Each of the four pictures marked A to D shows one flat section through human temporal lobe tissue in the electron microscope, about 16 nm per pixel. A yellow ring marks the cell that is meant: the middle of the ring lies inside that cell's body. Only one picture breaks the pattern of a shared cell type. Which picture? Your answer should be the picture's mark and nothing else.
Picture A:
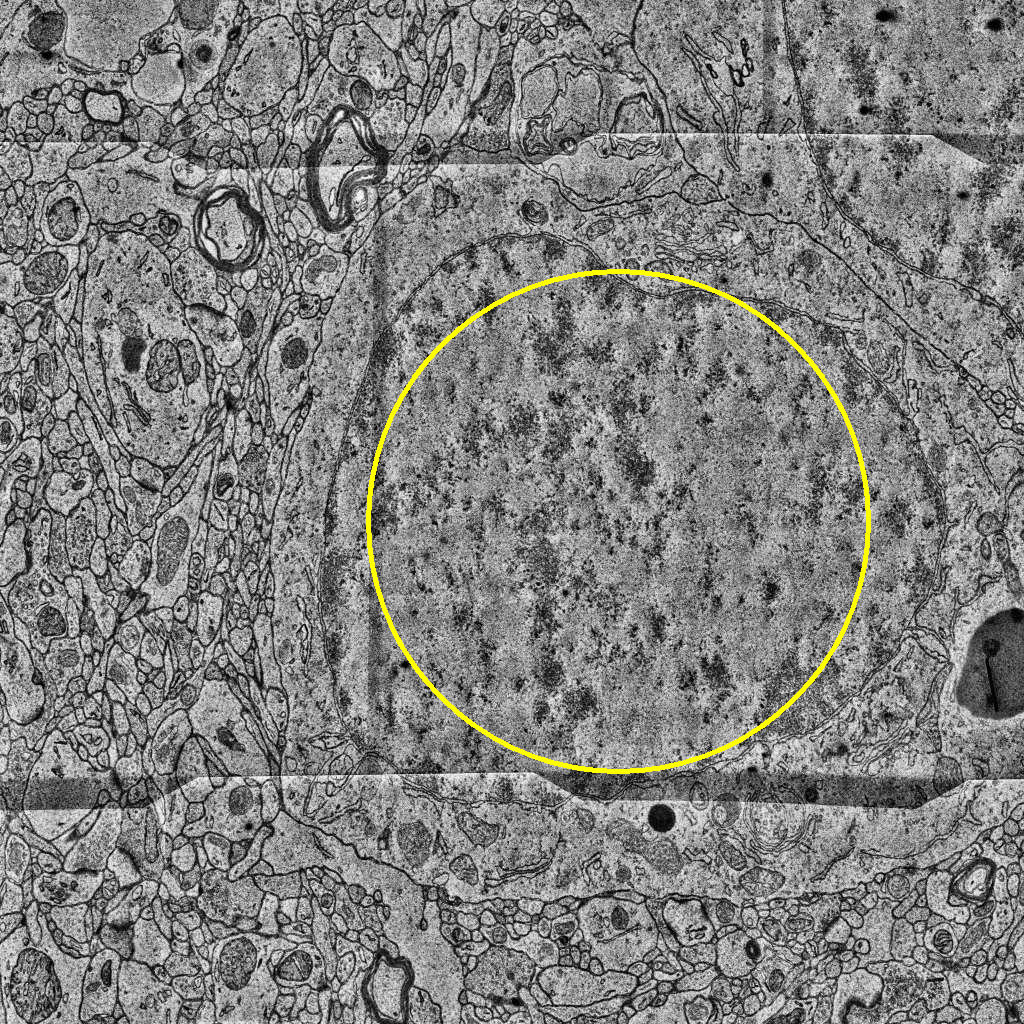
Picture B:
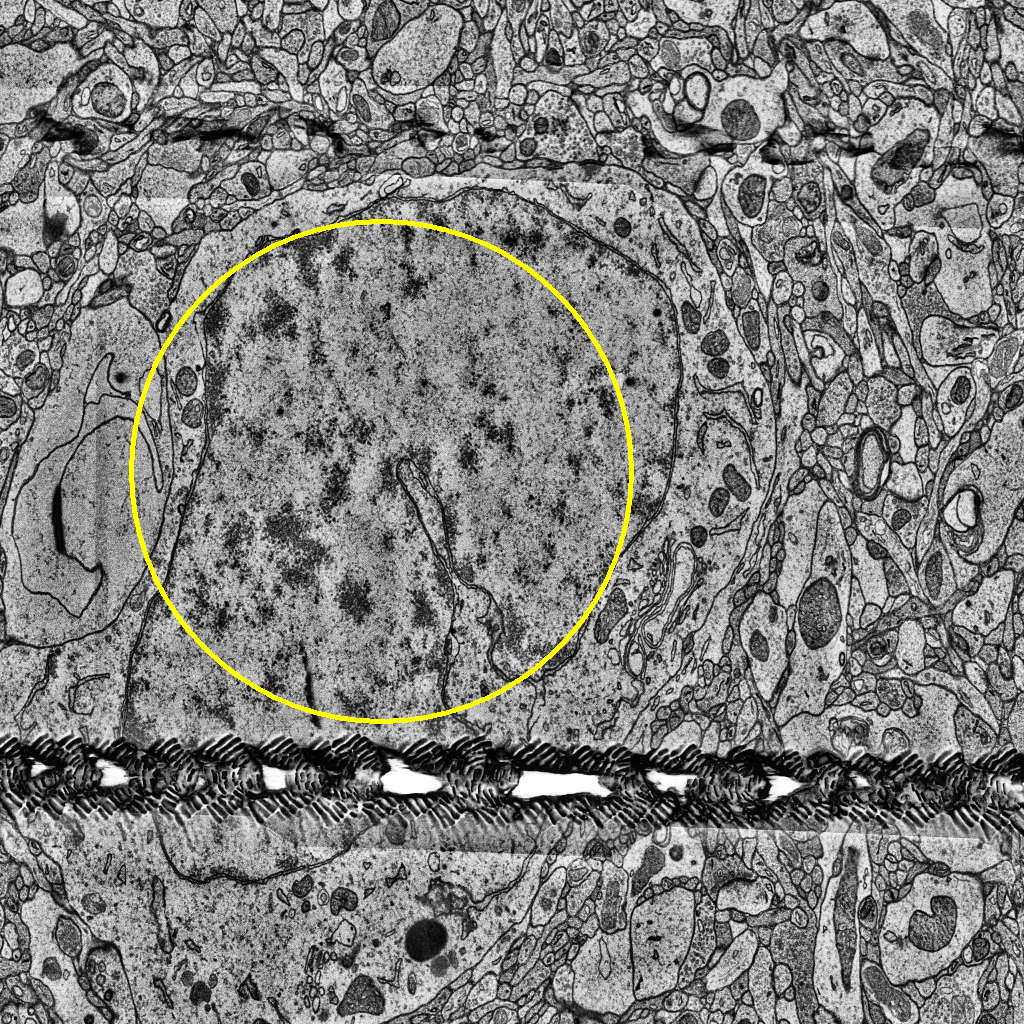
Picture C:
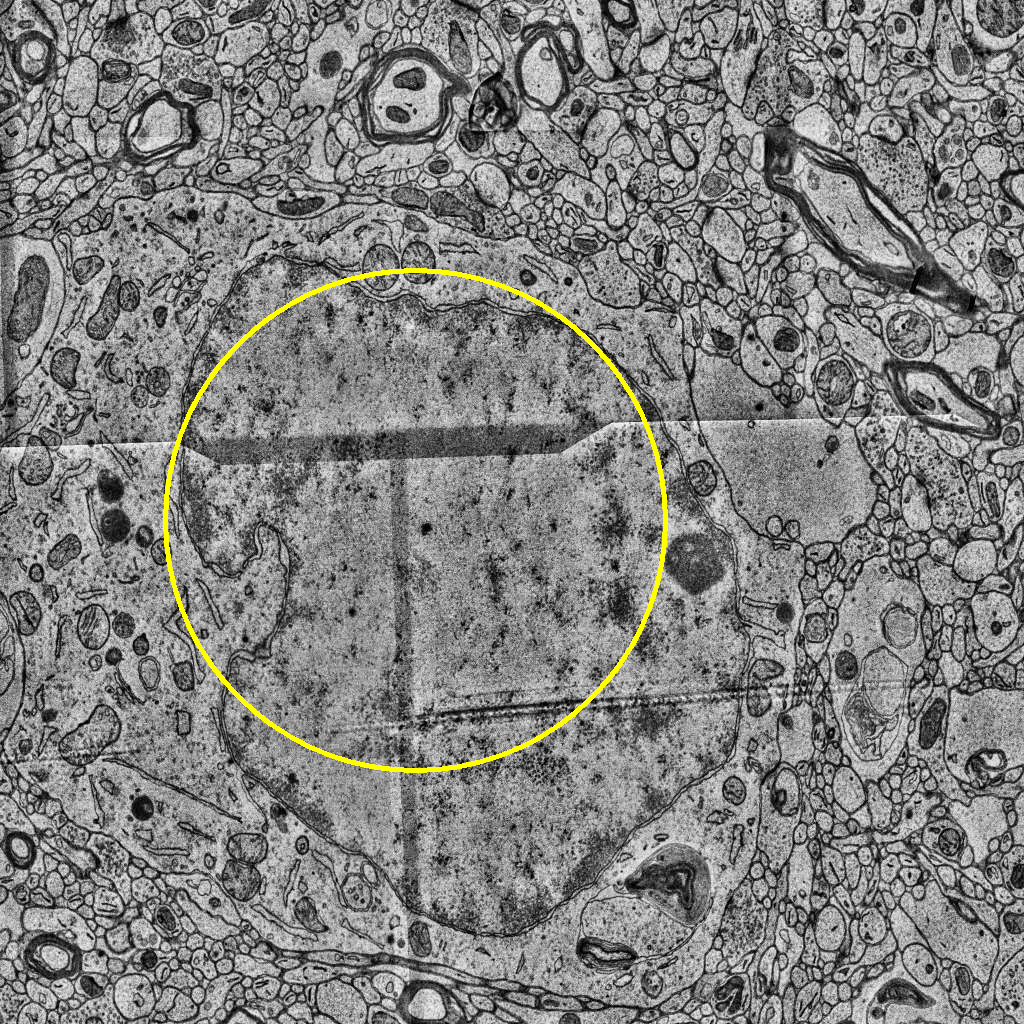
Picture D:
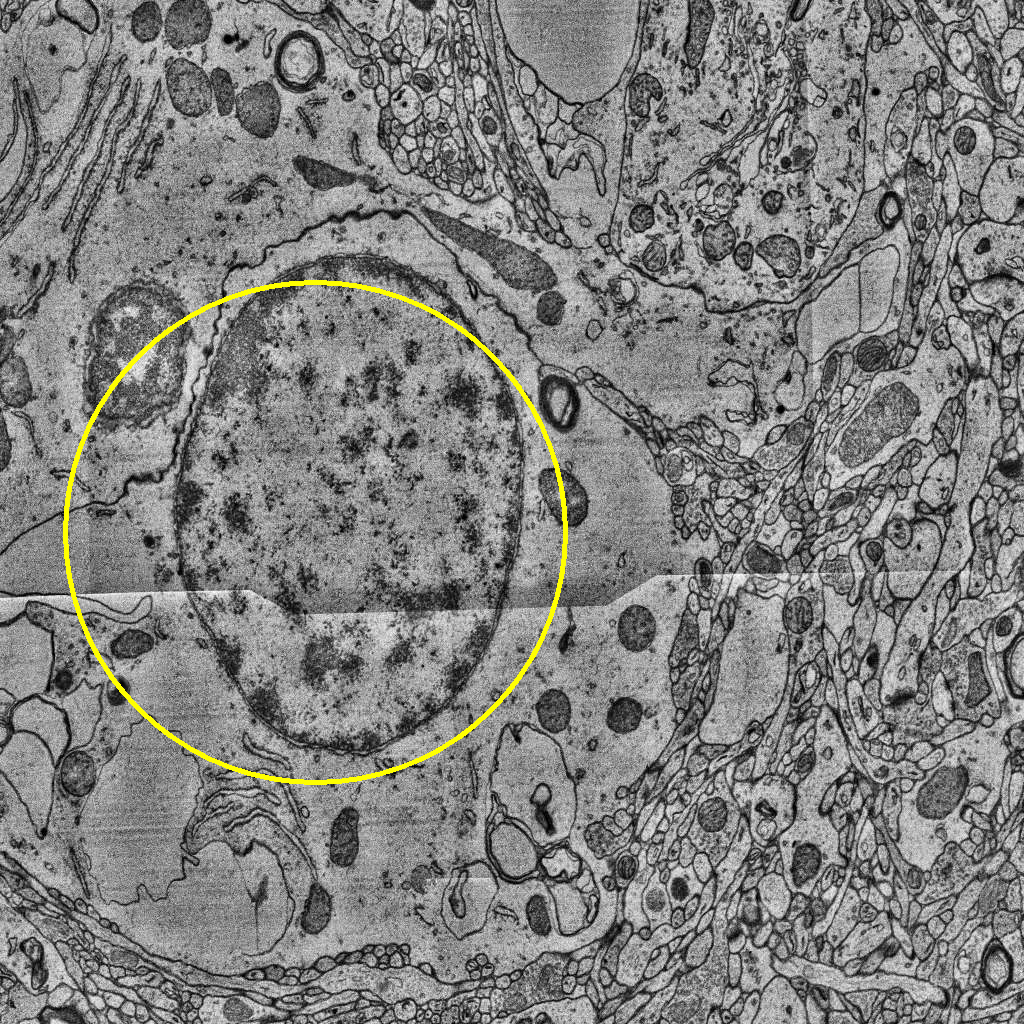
D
